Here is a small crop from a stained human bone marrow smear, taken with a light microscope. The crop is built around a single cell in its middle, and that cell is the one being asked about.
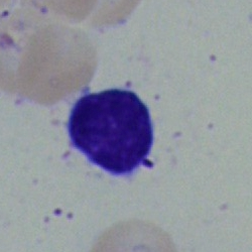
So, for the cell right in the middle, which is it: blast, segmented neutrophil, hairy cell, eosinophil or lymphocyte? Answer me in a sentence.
To answer, the cell in the center of the crop is a lymphocyte.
